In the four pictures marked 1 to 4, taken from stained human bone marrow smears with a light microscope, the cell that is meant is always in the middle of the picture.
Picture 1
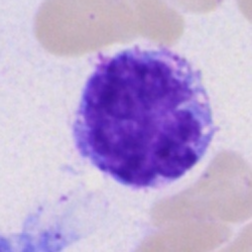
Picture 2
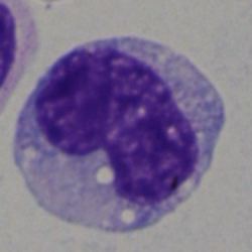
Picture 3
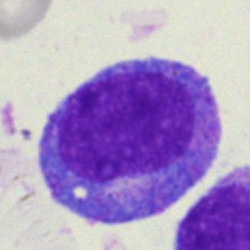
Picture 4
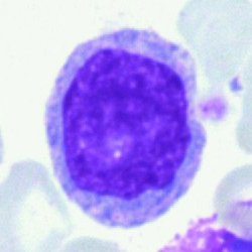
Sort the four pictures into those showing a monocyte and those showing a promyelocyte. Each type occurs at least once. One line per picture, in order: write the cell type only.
monocyte
monocyte
promyelocyte
monocyte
